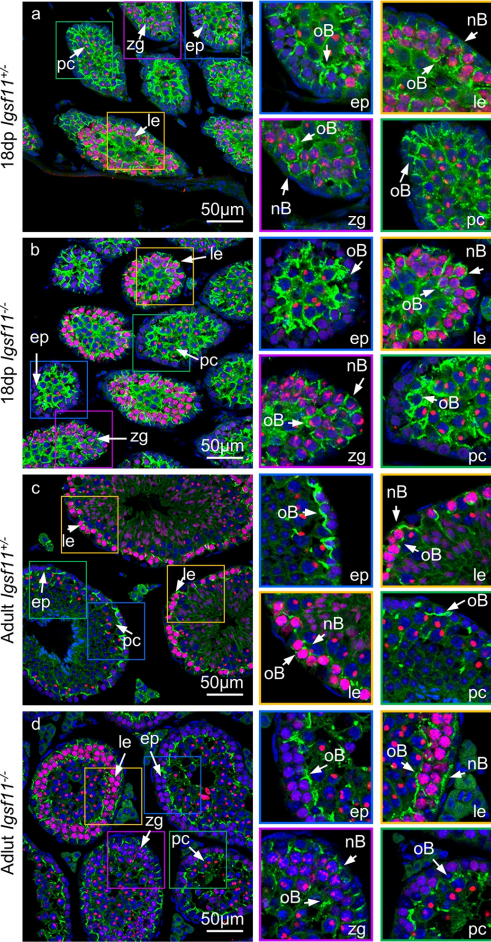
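Cross-sections of seminiferous tubules with spermatocytes among a green meshwork. Green lines run between cells in a network, with a band of green near the outer part of the tubules, and round nuclei filled with magenta or bearing magenta dots lie on either side of it.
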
